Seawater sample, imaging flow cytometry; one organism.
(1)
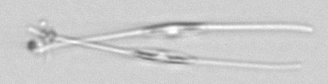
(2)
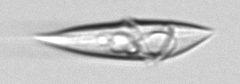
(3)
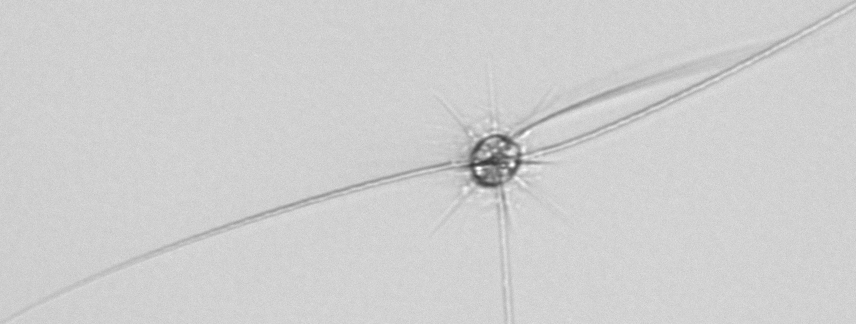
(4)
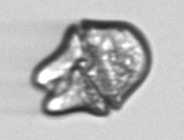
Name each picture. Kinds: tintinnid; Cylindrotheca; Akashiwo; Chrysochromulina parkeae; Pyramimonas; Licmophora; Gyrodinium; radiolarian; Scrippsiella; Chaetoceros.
(1) Cylindrotheca
(2) Gyrodinium
(3) radiolarian
(4) Akashiwo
